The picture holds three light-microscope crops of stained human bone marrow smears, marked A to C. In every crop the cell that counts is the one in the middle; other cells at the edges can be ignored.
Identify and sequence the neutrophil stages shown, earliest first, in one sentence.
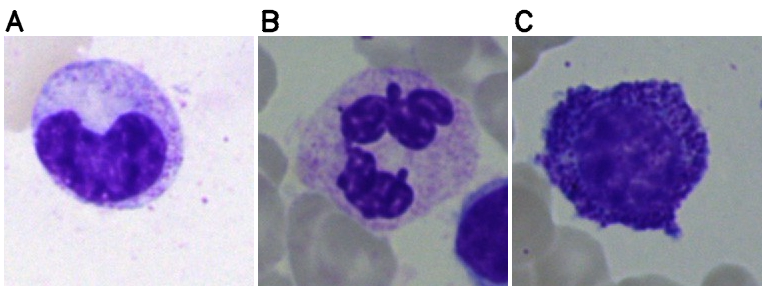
The arrangement from least to most mature is crop C (a promyelocyte), crop A (a metamyelocyte) and crop B (a segmented neutrophil).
